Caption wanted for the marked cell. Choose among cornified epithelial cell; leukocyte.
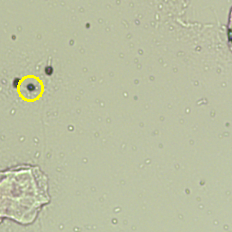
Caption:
Ringed in yellow is a leukocyte.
